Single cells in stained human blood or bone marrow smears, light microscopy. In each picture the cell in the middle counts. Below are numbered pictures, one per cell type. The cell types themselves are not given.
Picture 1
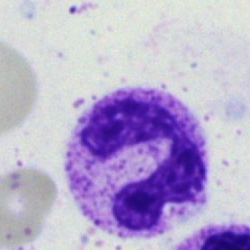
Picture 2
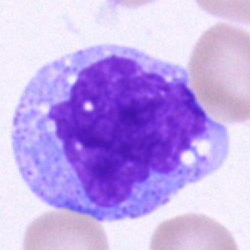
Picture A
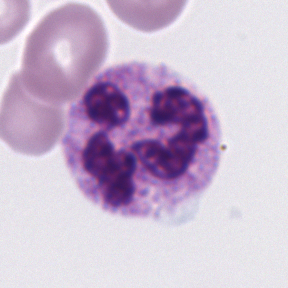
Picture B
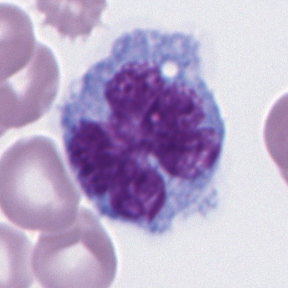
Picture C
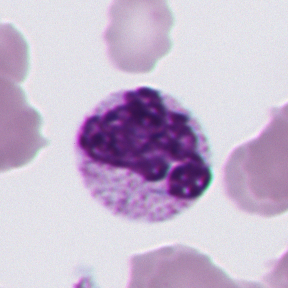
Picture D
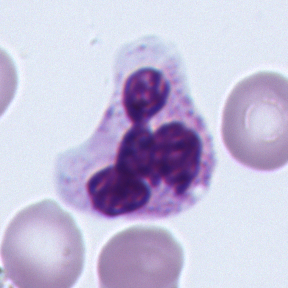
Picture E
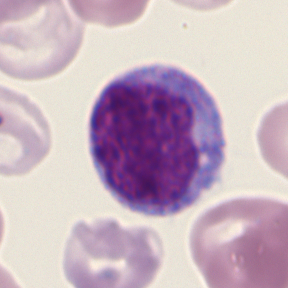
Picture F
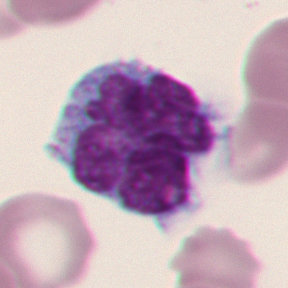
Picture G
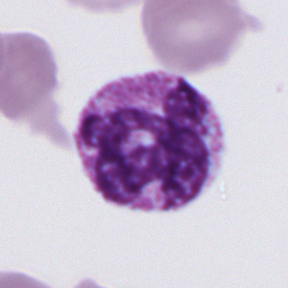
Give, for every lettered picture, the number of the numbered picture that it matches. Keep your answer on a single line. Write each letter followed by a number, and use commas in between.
A 1, B 2, C 1, D 1, E 2, F 2, G 1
